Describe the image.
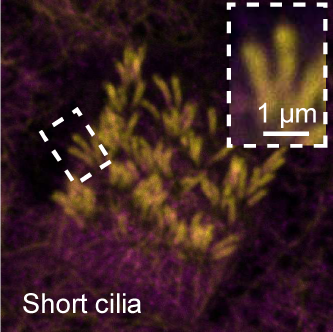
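A dashed box marks a few of them, enlarged in the inset, where their rounded tips stand apart as separate short rods. Around the cell a faint magenta network of fine filaments fills the background.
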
